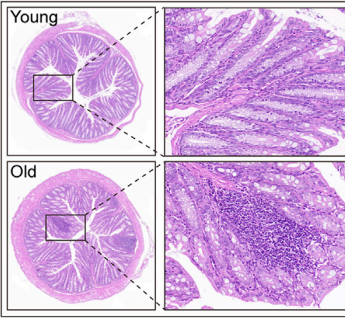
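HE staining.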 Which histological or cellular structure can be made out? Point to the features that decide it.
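Crypt structures. Tubular glands lined by epithelium radiate inward from the wall in cross-section. Enlarged views show elongated glands packed side by side with pale cells between purple nuclei.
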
